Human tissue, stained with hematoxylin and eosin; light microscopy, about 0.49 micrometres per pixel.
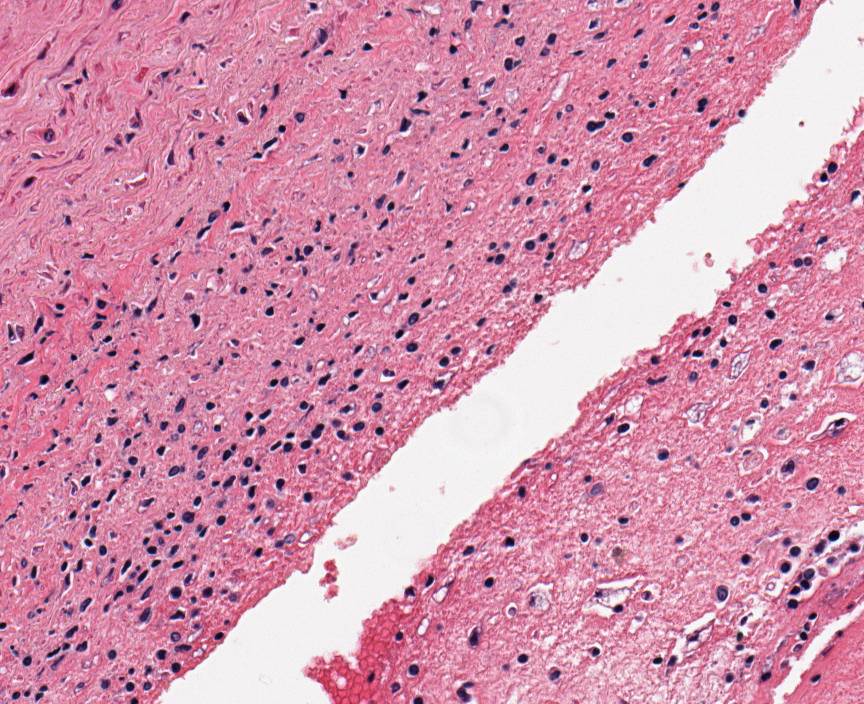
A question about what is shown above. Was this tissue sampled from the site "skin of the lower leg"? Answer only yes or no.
no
